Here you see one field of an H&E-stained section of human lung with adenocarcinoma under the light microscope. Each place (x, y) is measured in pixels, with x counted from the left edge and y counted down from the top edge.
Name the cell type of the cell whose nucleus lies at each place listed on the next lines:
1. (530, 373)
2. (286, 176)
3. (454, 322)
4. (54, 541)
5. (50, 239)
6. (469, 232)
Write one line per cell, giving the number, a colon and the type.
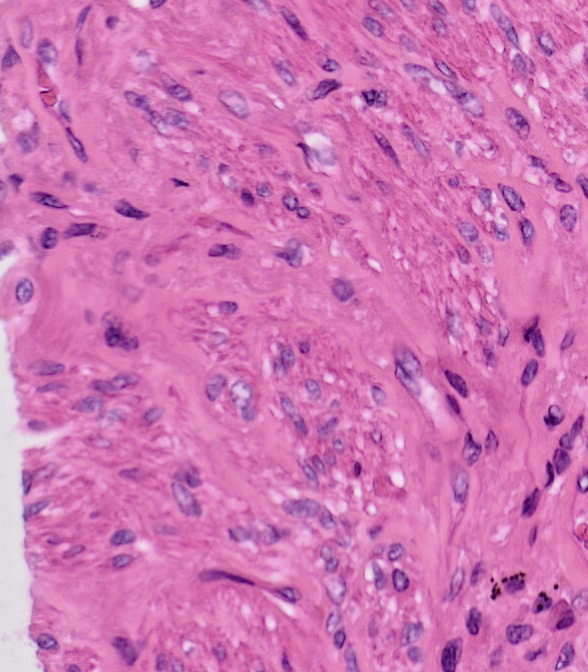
1: mast cell
2: smooth muscle cell or pericyte
3: smooth muscle cell or pericyte
4: smooth muscle cell or pericyte
5: mast cell
6: smooth muscle cell or pericyte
